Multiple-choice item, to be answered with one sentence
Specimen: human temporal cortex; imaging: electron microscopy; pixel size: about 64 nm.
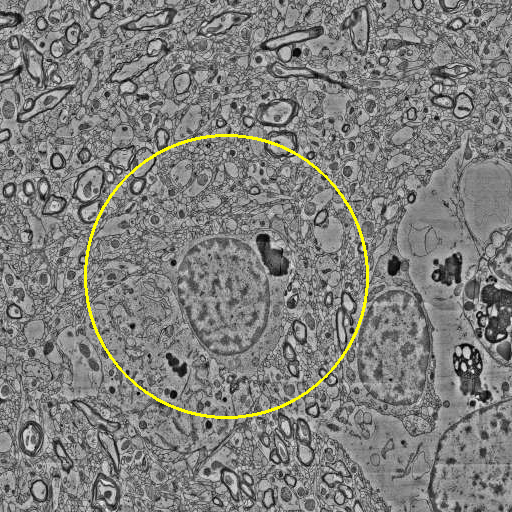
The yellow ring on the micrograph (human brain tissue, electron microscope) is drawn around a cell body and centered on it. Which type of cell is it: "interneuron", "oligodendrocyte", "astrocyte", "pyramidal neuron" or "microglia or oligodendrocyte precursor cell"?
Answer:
The ring is centered on an oligodendrocyte.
